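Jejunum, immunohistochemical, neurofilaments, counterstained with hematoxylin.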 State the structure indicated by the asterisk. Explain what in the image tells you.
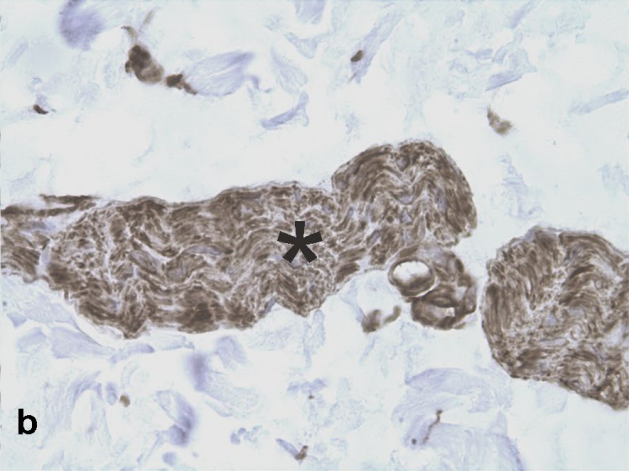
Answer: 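Rounded bundles packed with fine wavy brown-stained fibres. The bundles lie within pale loose connective tissue. Few nuclei are seen within the bundles. That points to this answer: Submucosal nerve plexuses.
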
